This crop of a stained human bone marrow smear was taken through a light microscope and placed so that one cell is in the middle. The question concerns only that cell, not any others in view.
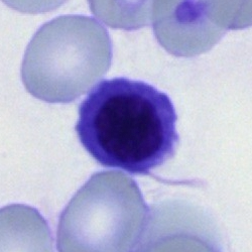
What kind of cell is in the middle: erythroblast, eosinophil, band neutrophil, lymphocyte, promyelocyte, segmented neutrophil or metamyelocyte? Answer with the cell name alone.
erythroblast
